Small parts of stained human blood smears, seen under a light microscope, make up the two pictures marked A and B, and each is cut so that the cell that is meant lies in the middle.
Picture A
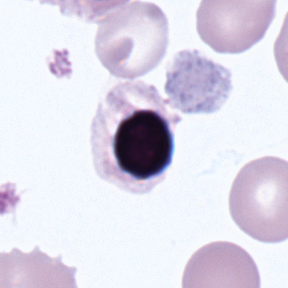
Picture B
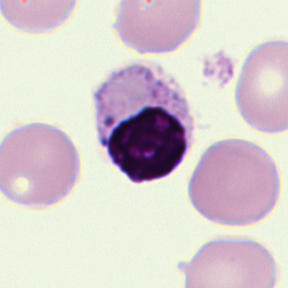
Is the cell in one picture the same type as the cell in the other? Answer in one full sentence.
Yes, both are normoblasts.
